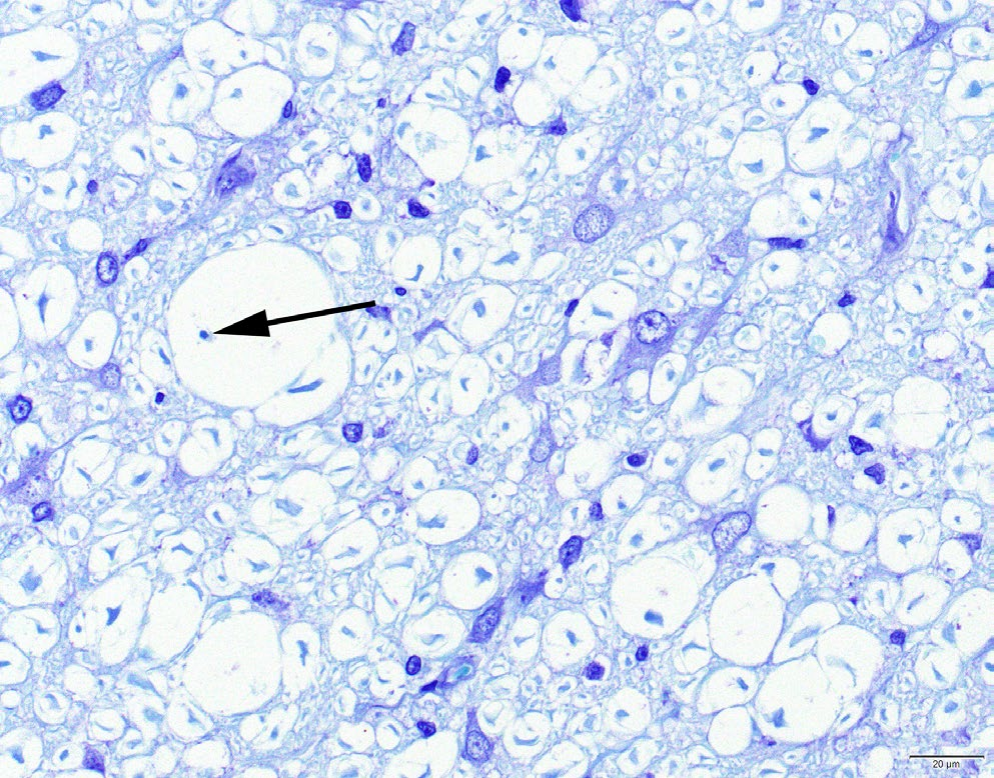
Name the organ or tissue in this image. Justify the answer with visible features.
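Tissue made of densely packed round fibre profiles cut in cross-section. No neuronal cell bodies among the fibres. Scattered small dark glial nuclei between the fibres. The answer: white matter.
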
